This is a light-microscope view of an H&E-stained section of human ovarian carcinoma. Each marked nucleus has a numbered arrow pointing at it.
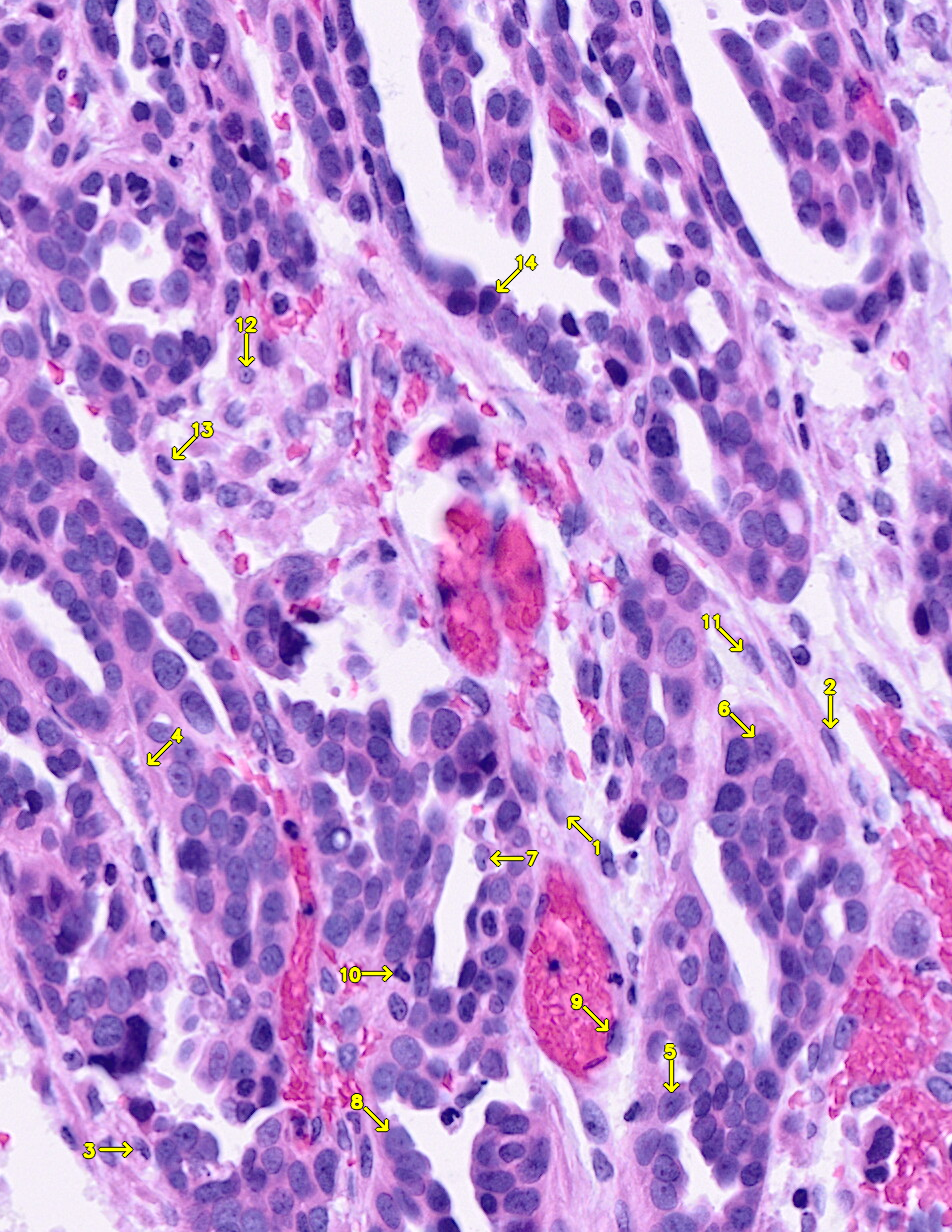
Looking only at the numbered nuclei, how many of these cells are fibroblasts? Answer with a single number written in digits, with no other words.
4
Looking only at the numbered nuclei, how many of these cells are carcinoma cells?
4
